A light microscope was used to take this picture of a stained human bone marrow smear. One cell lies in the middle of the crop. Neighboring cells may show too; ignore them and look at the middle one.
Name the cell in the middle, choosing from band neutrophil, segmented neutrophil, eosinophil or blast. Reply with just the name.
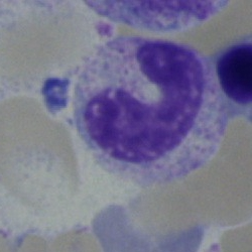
band neutrophil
